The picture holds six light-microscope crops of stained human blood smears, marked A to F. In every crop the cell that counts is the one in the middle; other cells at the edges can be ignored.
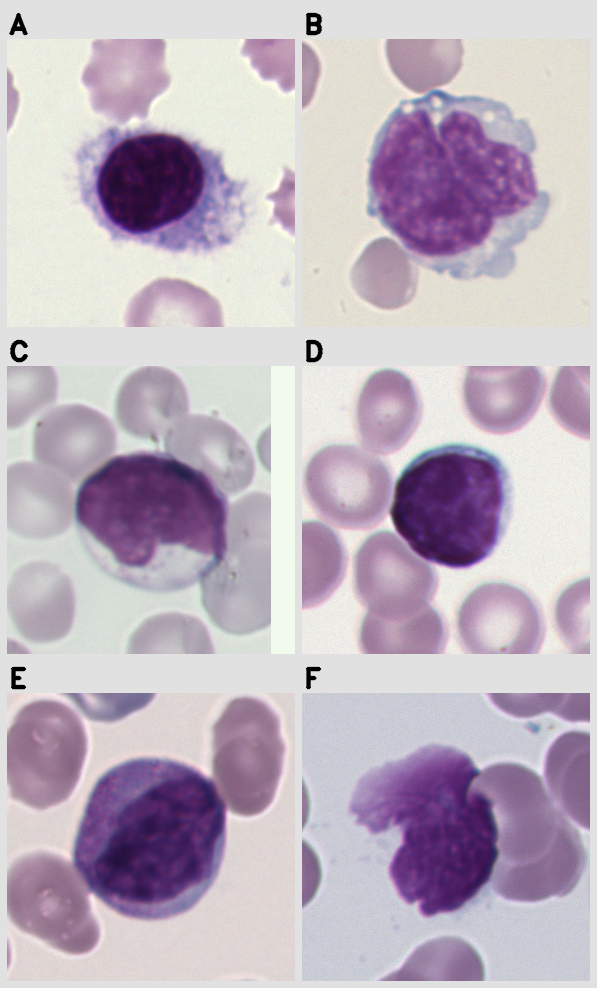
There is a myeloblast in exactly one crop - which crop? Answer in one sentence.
The one showing a myeloblast is the crop labelled B.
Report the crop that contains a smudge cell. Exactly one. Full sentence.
It is crop F, not any other, that shows a smudge cell.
